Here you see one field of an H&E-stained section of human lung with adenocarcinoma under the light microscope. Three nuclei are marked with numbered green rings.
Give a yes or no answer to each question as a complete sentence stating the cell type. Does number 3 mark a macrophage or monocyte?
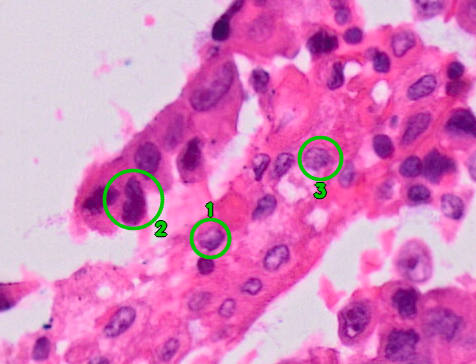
Yes, the marked cell number 3 is a macrophage or monocyte.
